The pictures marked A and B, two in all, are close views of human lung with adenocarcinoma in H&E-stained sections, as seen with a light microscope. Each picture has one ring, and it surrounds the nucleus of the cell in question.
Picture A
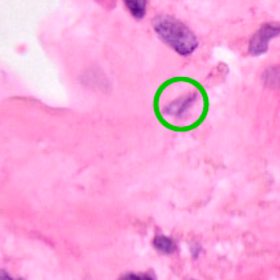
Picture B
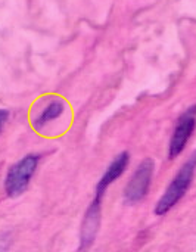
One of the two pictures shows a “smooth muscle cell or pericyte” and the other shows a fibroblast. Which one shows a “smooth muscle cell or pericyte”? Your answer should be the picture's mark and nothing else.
B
